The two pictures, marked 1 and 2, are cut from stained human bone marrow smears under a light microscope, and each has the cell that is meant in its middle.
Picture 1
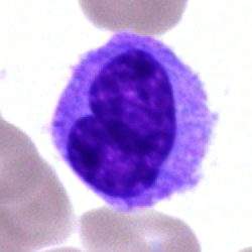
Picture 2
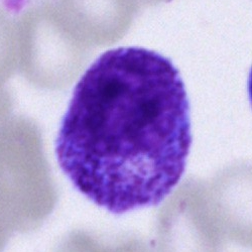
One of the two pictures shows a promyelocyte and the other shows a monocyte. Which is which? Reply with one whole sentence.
In picture 1 the cell is a monocyte; in picture 2, a promyelocyte.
